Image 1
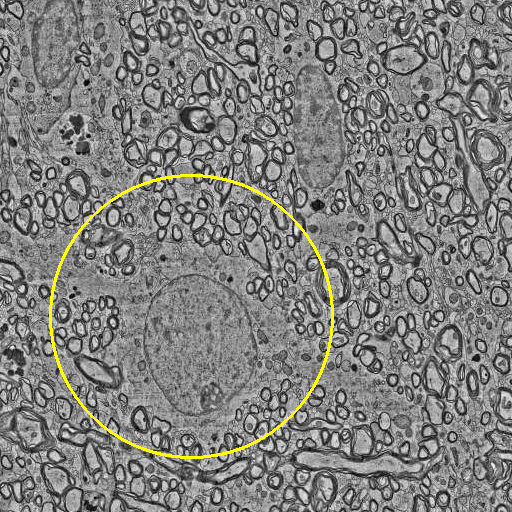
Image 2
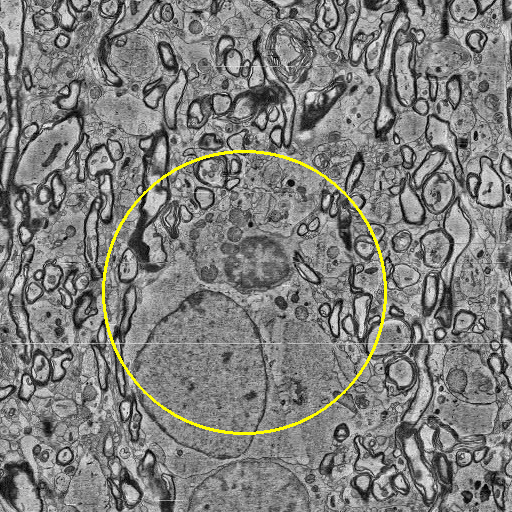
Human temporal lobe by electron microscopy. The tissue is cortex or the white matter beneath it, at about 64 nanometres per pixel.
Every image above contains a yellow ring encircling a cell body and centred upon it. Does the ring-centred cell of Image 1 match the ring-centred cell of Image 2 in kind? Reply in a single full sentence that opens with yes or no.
No, the cell at the ring's centre in Image 1 is a separate kind from that in Image 2.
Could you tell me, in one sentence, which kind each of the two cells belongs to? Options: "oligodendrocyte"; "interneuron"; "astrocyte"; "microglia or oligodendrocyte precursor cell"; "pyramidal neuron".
At the centre of the first ring sits an astrocyte, and at the centre of the second sits an oligodendrocyte.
